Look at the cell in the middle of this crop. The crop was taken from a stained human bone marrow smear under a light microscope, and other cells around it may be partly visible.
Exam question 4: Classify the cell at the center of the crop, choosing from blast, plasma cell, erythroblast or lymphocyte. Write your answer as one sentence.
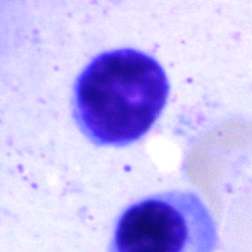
This crop is built around a lymphocyte at its centre.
